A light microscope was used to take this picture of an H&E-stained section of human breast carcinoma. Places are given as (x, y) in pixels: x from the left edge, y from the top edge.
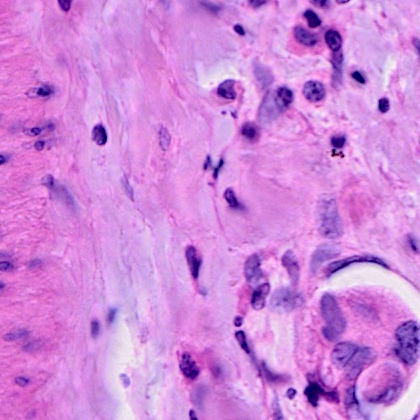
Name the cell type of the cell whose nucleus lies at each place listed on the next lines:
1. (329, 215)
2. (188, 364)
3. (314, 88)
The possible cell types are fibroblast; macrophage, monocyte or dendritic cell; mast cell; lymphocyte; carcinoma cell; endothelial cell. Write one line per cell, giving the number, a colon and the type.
1: fibroblast
2: mast cell
3: mast cell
